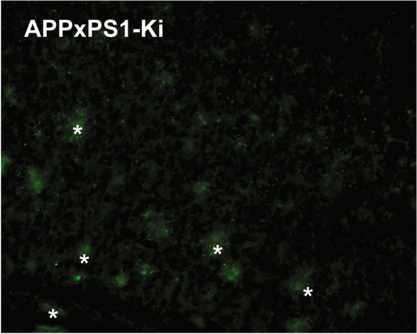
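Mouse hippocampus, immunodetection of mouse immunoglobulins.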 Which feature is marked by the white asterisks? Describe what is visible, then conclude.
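Each asterisk lies beside a rounded, fuzzy patch of brighter green. The patches are scattered across a faintly green background. That points to this answer: plaques.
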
